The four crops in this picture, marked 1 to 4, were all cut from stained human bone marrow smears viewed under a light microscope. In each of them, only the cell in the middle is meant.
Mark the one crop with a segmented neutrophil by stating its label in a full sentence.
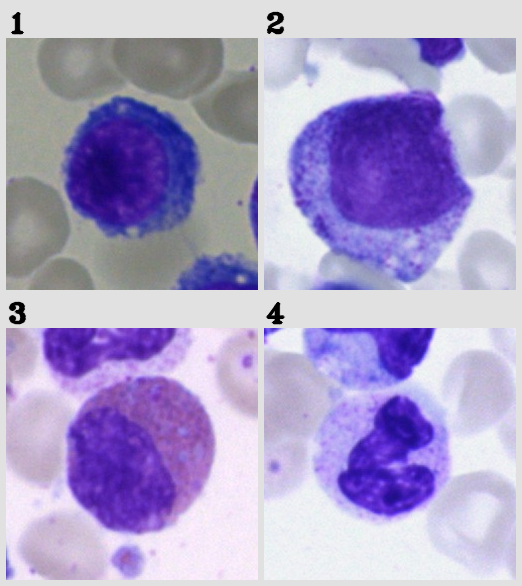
Of the crops given, a segmented neutrophil is found in crop 4.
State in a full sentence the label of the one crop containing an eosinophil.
Crop 3 is the crop that displays an eosinophil.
